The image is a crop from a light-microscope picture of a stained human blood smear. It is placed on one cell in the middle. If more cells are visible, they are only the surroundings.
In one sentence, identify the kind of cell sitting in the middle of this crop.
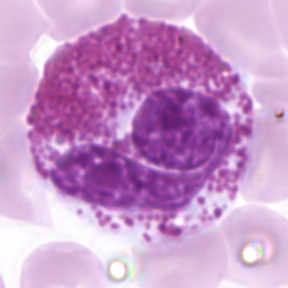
On this slide crop, the central cell is an eosinophil.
